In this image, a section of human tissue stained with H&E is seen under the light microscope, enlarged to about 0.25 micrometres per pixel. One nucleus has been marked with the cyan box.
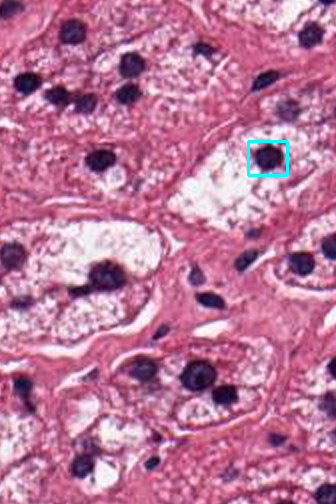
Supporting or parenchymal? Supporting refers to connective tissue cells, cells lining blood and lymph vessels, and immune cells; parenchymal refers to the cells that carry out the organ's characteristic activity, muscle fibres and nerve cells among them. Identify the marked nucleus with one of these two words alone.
parenchymal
